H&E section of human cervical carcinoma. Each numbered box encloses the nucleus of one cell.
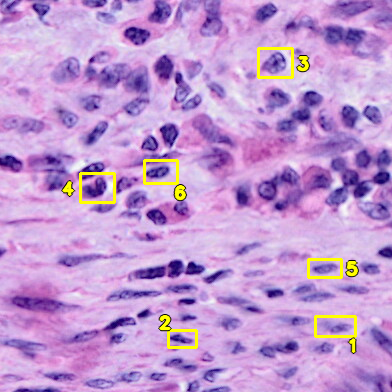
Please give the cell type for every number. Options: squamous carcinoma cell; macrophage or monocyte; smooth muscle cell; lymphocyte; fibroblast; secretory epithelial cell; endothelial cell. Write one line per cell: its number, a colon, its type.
1: fibroblast
2: fibroblast
3: lymphocyte
4: lymphocyte
5: fibroblast
6: lymphocyte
